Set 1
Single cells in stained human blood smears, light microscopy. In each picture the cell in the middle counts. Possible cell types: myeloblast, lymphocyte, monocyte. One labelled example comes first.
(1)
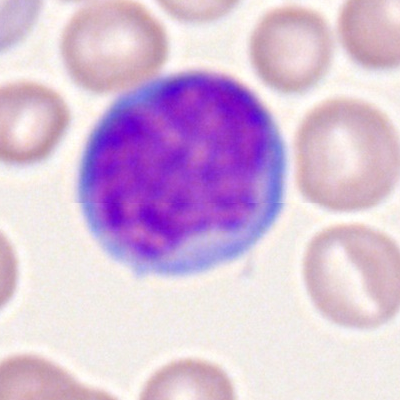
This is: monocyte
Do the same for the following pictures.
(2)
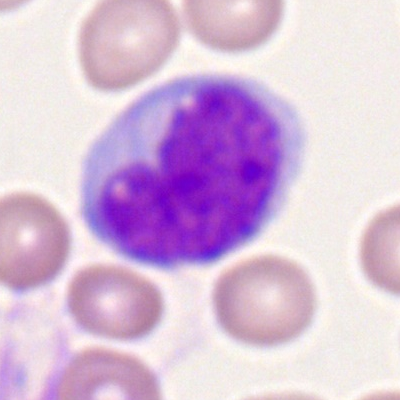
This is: monocyte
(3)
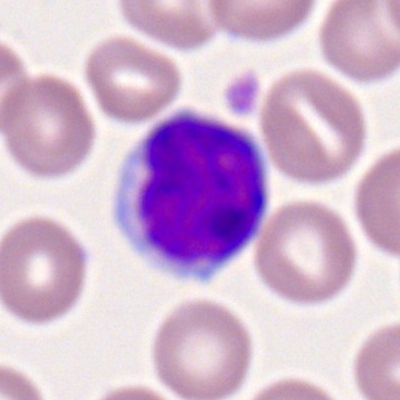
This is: lymphocyte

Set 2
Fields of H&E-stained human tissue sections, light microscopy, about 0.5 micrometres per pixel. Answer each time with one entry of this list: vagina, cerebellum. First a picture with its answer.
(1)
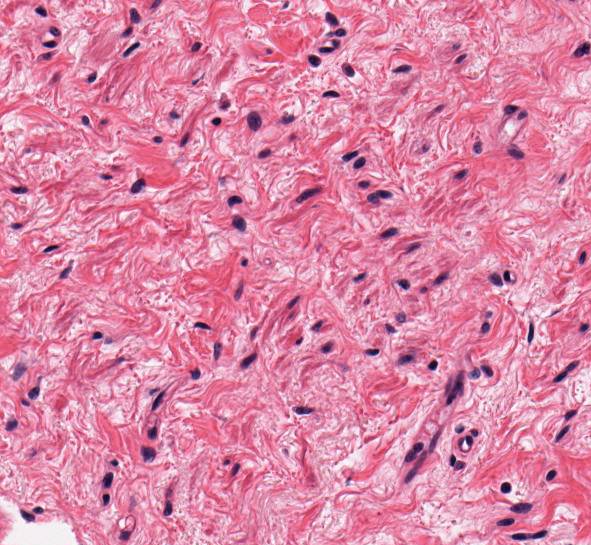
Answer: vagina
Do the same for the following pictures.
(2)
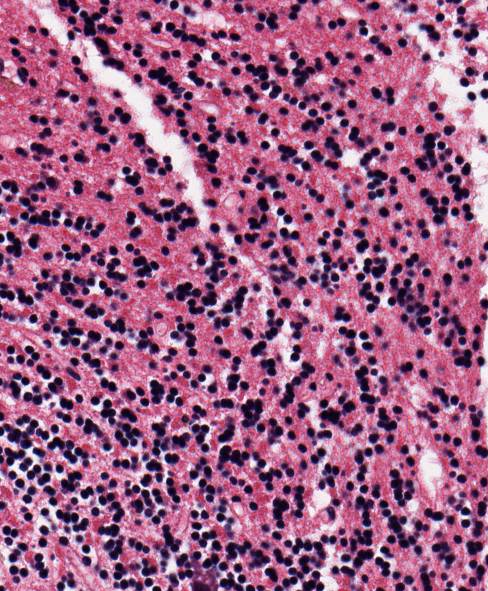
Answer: cerebellum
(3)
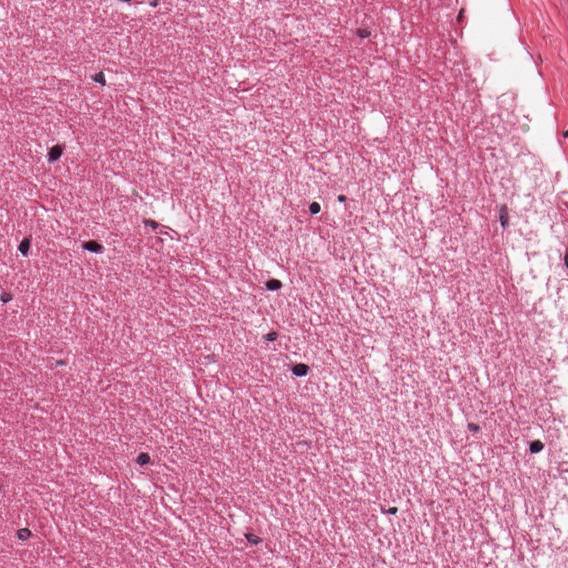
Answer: cerebellum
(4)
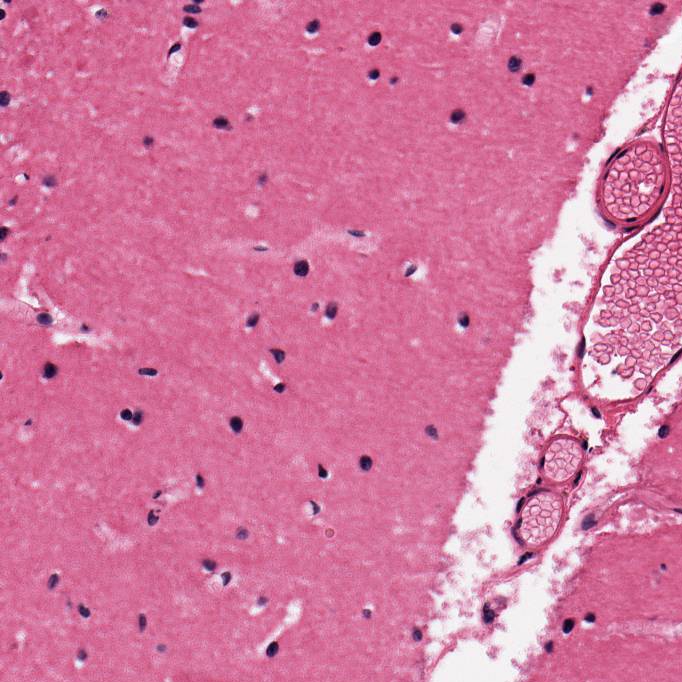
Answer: cerebellum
